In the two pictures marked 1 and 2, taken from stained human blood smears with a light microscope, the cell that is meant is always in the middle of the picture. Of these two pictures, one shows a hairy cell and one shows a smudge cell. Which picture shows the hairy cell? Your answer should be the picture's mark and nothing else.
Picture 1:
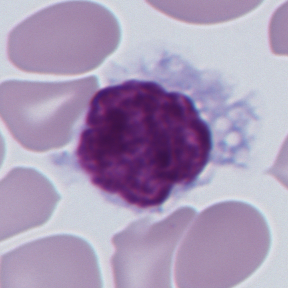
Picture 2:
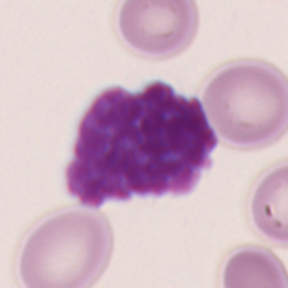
1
